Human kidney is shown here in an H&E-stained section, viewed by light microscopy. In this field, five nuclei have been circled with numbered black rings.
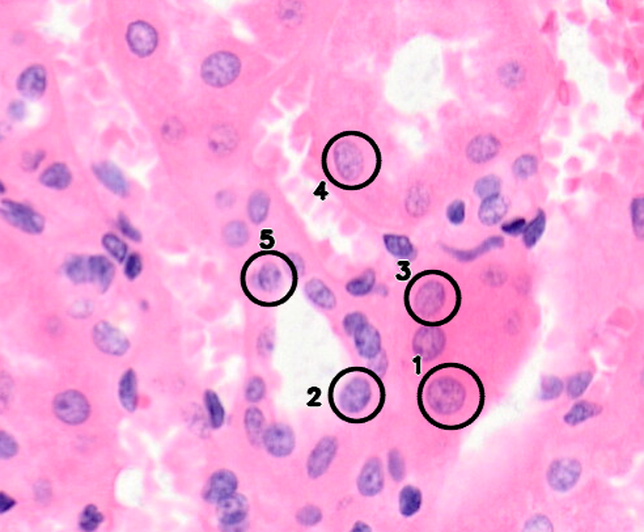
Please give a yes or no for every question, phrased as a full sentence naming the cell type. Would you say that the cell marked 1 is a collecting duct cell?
No, cell 1 is not a collecting duct cell; it is a proximal tubule cell.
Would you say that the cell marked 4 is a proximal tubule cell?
Yes, the numbered nucleus 4 is that of a proximal tubule cell.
